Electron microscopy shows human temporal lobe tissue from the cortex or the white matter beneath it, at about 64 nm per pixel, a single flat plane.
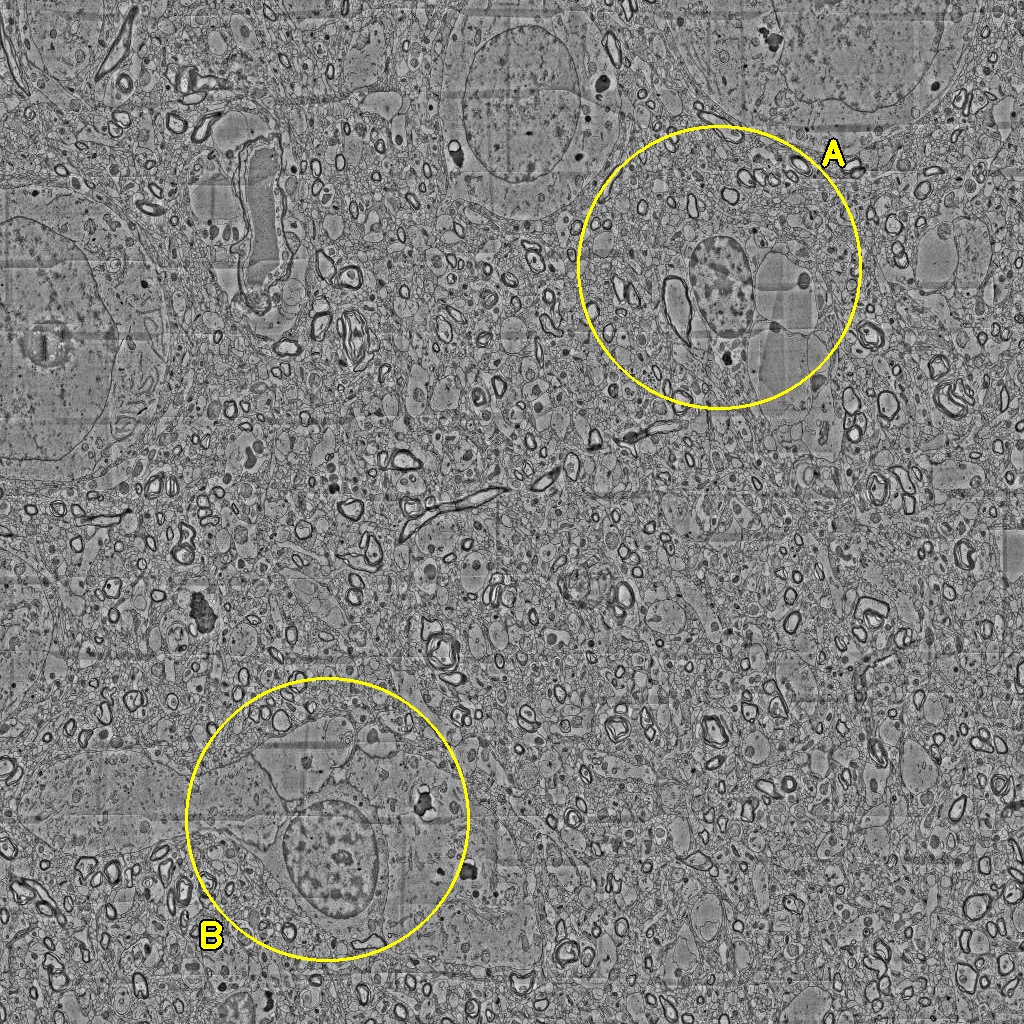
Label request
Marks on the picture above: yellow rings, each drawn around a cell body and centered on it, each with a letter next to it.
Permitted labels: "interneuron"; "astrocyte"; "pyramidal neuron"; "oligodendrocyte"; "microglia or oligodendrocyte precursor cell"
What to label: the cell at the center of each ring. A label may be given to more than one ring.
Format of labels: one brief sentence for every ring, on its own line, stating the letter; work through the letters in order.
The cell at the center of ring A is a microglial cell or oligodendrocyte precursor cell.
The cell at the center of ring B is an oligodendrocyte.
